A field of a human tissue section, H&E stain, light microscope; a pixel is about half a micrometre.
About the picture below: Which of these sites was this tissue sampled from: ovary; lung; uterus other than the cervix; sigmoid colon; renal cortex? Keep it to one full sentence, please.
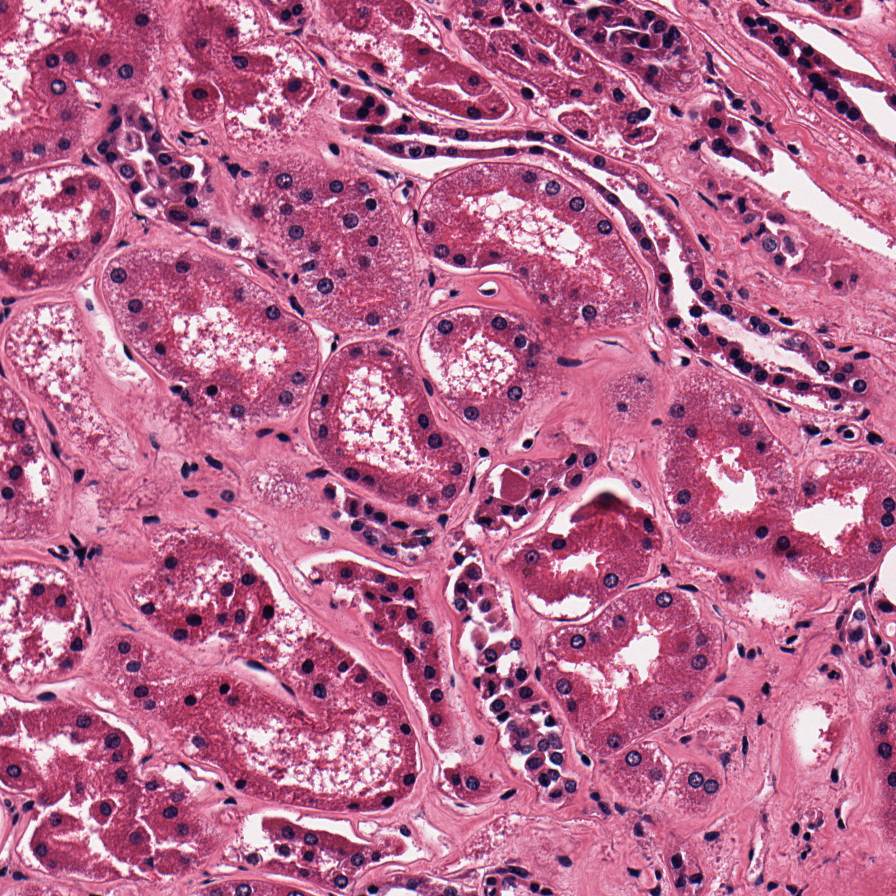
Sampled from the renal cortex is the tissue in this section.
